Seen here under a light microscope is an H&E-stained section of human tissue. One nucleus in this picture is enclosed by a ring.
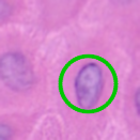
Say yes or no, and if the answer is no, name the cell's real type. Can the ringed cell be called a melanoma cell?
No, it is a keratinocyte.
